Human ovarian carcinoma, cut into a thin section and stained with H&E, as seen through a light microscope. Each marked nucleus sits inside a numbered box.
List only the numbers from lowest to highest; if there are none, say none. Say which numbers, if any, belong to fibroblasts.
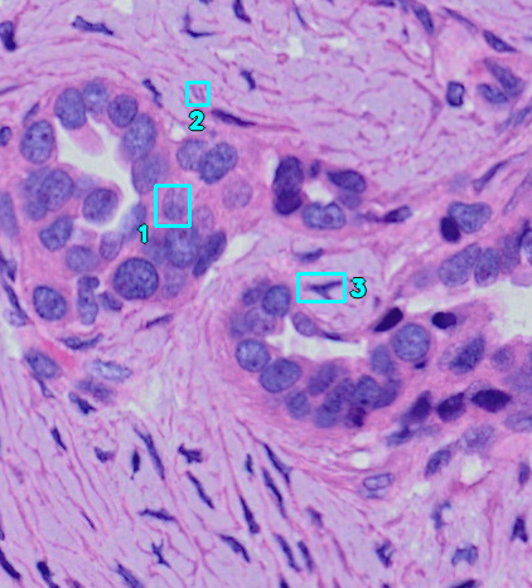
2, 3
